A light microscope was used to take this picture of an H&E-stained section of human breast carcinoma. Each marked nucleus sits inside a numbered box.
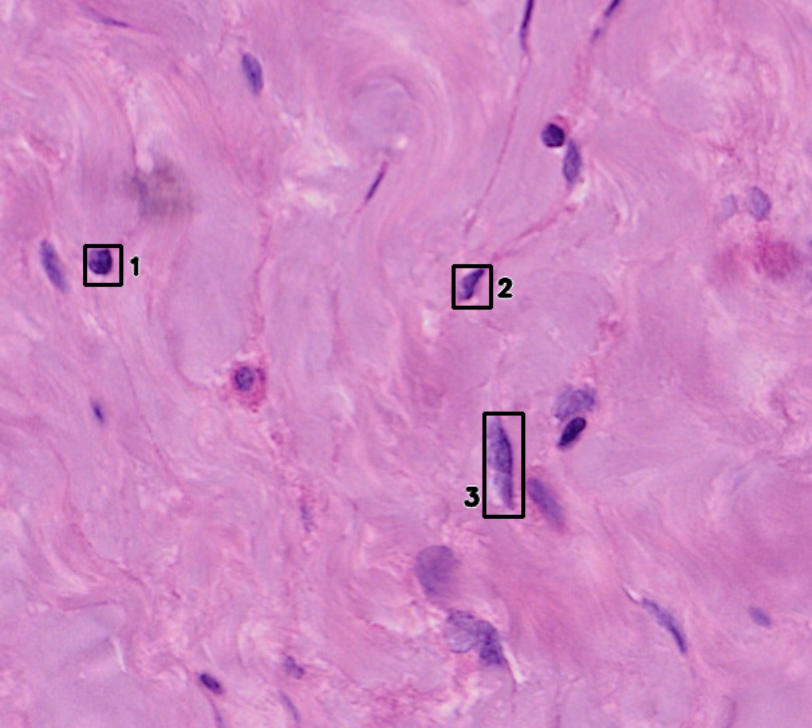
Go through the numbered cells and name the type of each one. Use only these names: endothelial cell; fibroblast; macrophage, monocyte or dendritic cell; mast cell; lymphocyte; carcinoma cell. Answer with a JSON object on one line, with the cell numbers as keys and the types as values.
{"1": "lymphocyte", "2": "fibroblast", "3": "fibroblast"}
